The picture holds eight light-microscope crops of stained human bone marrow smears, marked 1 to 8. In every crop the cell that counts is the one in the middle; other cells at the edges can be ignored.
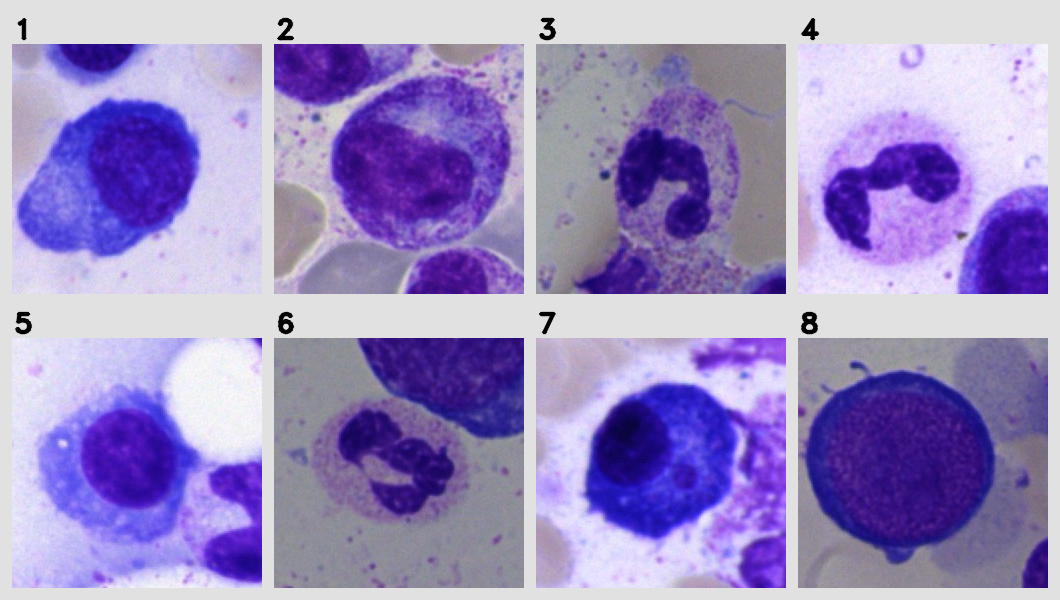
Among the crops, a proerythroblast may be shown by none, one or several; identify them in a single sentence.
Crop 8 holds a proerythroblast; the other crops hold none.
